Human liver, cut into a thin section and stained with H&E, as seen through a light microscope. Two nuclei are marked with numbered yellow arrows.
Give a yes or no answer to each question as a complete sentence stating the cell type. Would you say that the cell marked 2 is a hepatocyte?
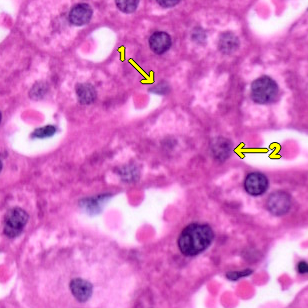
Yes, the nucleus numbered 2 belongs to a hepatocyte.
